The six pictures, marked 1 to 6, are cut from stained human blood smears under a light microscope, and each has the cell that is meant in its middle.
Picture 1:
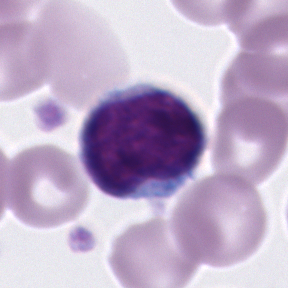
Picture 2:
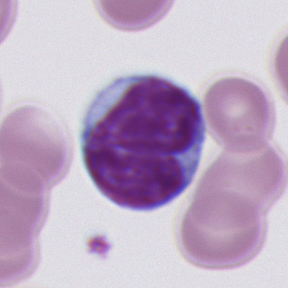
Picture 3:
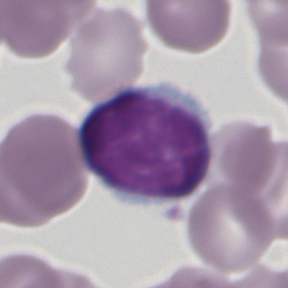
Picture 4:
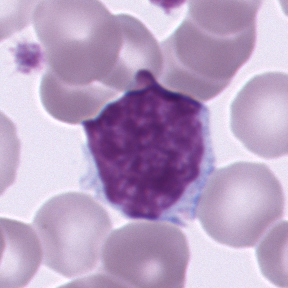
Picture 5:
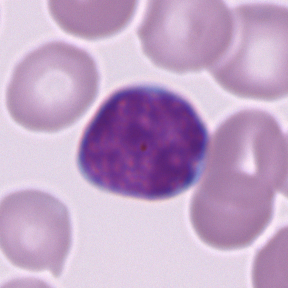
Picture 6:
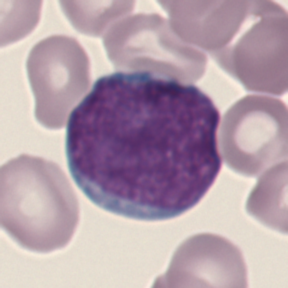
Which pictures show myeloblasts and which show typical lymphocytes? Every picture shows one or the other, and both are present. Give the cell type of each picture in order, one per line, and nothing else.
typical lymphocyte
typical lymphocyte
typical lymphocyte
typical lymphocyte
myeloblast
myeloblast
